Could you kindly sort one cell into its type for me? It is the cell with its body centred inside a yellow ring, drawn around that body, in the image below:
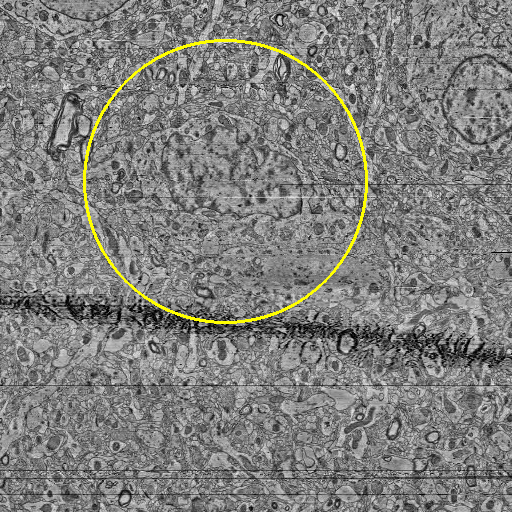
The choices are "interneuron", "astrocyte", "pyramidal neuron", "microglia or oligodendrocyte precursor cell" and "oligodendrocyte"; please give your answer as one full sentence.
The cell whose body lies centred in the yellow ring here is an interneuron.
